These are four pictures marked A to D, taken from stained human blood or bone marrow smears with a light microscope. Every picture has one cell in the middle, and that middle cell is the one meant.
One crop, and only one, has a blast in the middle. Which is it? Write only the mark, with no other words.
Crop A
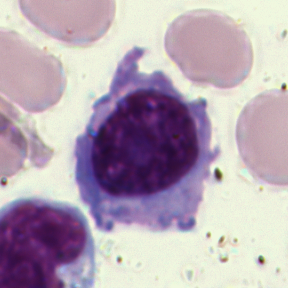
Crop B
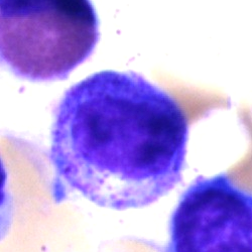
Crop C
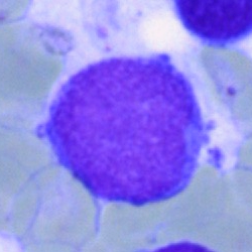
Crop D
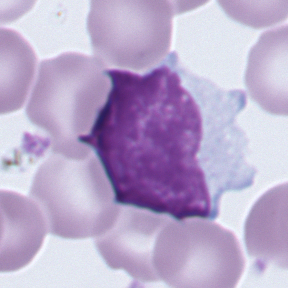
C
